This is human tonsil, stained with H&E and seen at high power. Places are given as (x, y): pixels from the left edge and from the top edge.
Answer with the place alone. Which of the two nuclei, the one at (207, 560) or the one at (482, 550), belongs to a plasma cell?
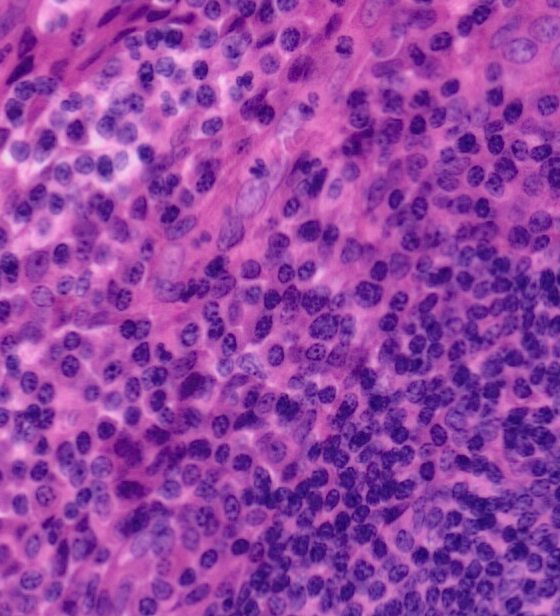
(207, 560)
